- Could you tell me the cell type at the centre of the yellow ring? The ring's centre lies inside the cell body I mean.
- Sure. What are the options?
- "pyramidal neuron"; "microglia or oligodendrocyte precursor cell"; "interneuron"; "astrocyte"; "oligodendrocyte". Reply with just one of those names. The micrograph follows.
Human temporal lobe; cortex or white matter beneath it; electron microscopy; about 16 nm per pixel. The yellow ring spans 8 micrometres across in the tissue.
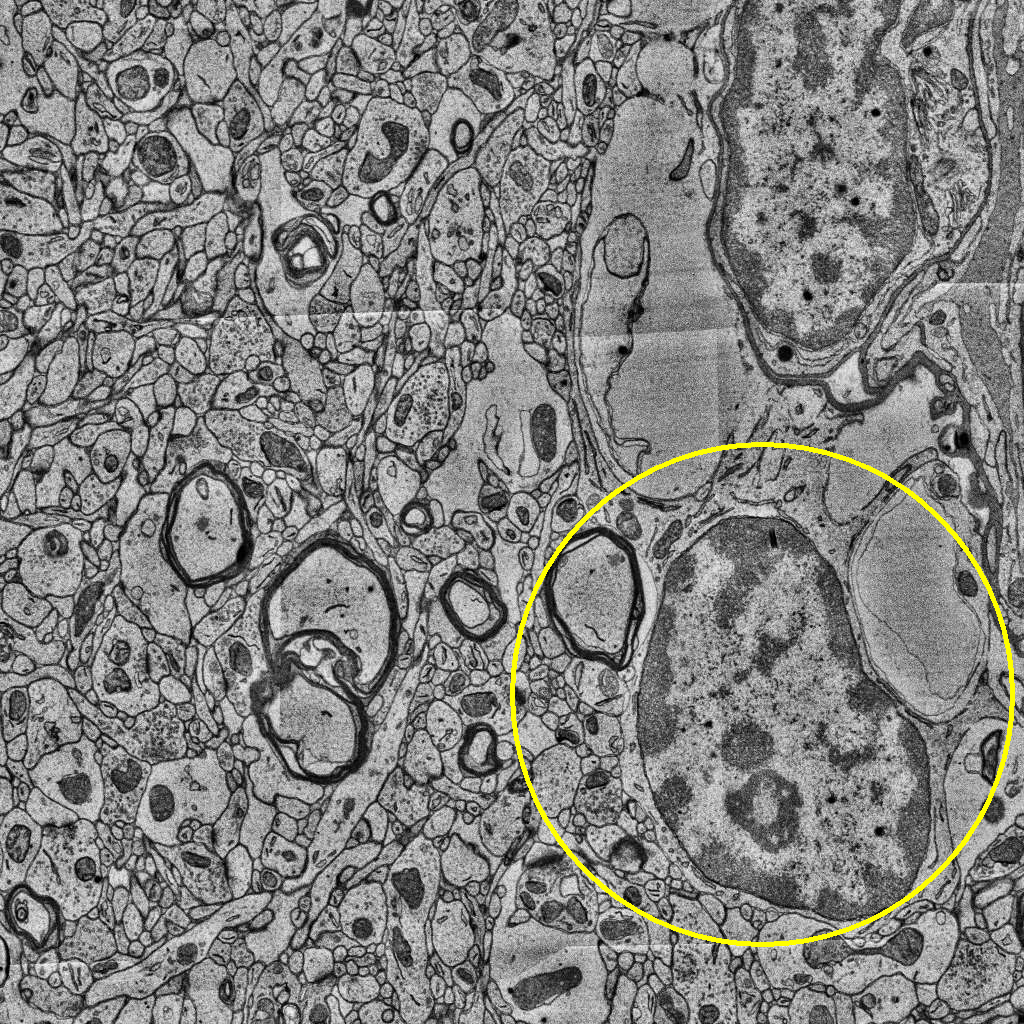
microglia or oligodendrocyte precursor cell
